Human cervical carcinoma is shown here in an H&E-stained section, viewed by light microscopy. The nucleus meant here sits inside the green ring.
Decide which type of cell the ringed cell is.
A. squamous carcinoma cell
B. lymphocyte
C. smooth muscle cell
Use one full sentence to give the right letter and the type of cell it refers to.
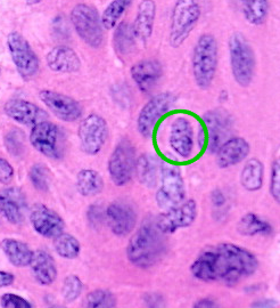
Here the ringed cell is a squamous carcinoma cell, which makes option A correct.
